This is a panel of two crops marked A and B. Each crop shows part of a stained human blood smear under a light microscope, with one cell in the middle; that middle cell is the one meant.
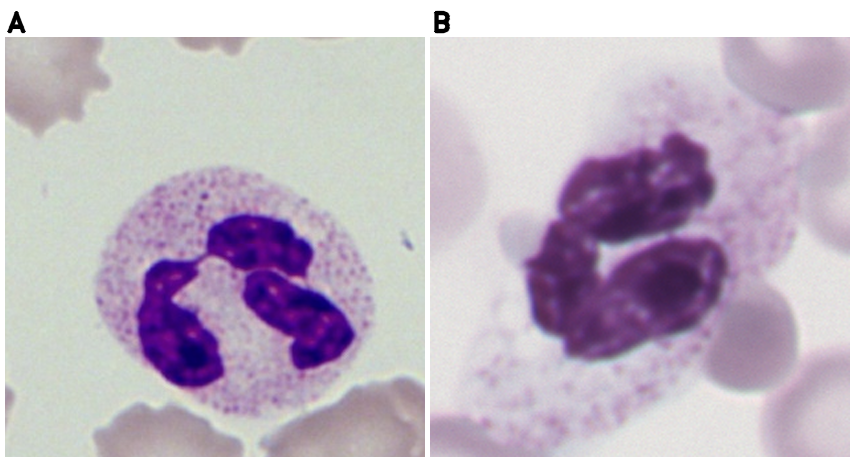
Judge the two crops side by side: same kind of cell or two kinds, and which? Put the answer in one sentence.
Yes, both crops show segmented neutrophils in the centre of the field.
